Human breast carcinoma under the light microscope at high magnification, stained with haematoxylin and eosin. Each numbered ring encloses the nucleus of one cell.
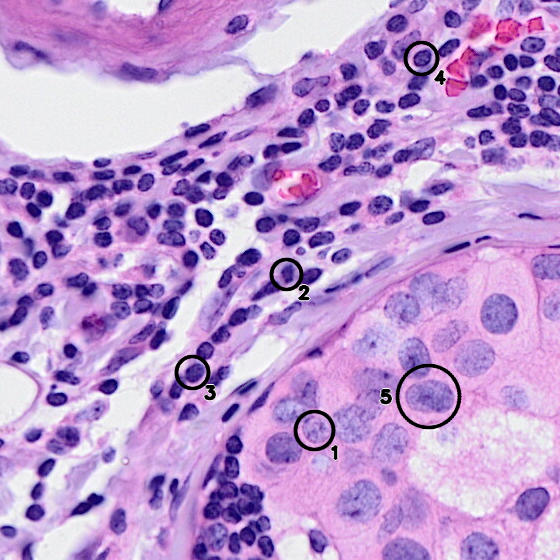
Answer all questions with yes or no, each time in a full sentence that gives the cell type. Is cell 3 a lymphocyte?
Yes, that is right: the cell labelled 3 is a lymphocyte.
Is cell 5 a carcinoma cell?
Yes, the cell marked with number 5 is a carcinoma cell.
